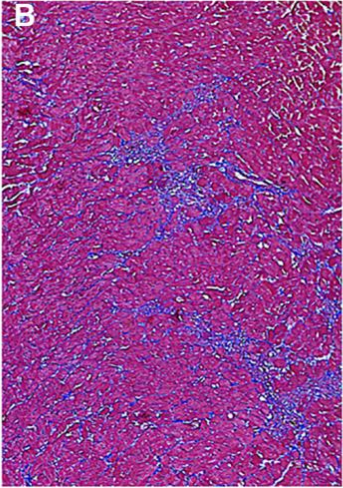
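This section of heart muscle is mostly made of red-staining myocardial fibers cut in various planes, separated by many small pale clefts and vessel spaces. The blue deposits are patchy and interstitial, outlining groups of fibers, while the surrounding myocardium keeps its red color and fairly compact arrangement. A few small dark nuclei and dark spots are scattered through the tissue.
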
